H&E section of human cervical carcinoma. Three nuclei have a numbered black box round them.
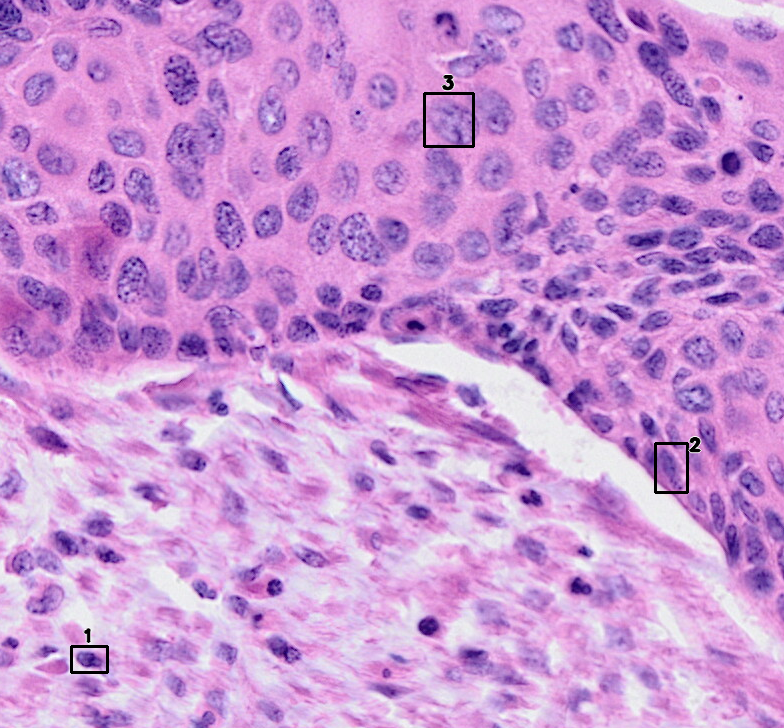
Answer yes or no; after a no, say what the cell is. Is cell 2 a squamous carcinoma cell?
Yes.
